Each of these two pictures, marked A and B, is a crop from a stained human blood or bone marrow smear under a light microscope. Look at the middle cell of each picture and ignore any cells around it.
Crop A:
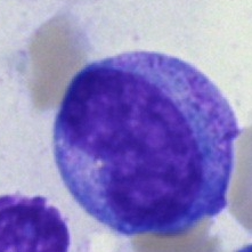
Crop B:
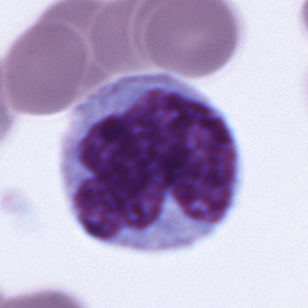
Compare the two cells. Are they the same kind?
yes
